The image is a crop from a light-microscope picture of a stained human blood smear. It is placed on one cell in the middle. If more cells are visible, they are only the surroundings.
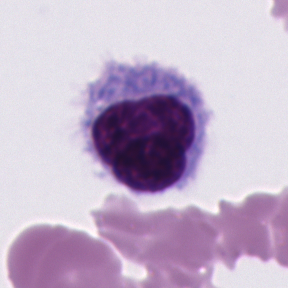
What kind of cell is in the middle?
hairy cell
